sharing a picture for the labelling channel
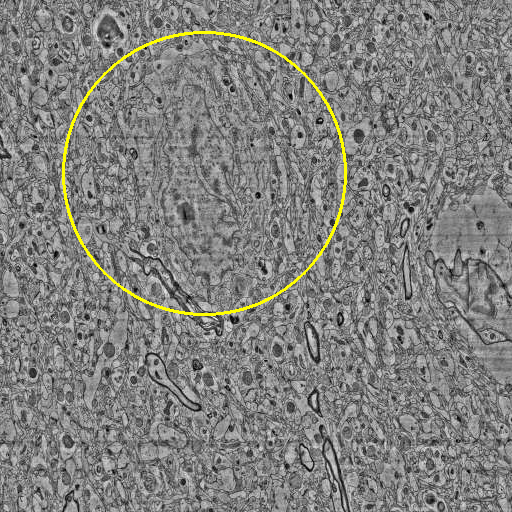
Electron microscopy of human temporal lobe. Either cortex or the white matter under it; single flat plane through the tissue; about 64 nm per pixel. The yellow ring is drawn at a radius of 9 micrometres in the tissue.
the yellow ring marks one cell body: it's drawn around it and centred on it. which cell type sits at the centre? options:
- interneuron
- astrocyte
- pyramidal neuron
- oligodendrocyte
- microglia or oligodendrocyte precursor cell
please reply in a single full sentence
In the picture, the cell at the ring's centre is an interneuron, going by the list.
